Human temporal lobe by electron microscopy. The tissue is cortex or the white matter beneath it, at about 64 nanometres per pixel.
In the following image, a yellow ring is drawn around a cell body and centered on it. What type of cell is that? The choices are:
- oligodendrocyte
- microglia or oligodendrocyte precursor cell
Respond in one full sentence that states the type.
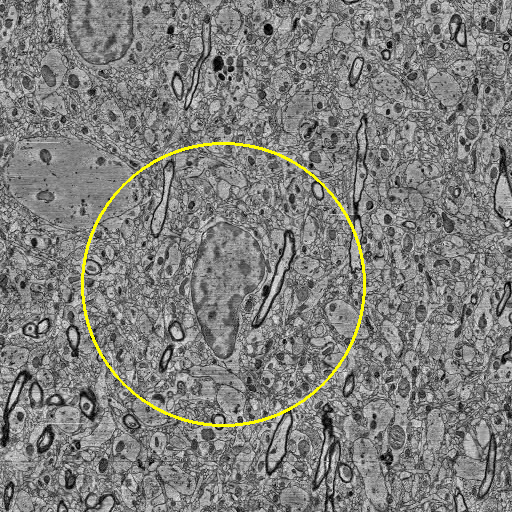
The cell at the center of the yellow ring in the image is a microglial cell or oligodendrocyte precursor cell.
